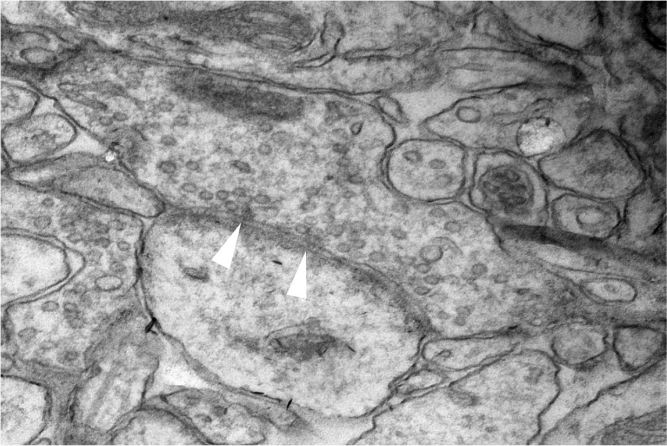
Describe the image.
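The terminal holds small round clear synaptic vesicles scattered loosely rather than tightly clustered. Where the two profiles meet, the membrane of the lower profile shows a dark thickening. A few vesicles lie directly against the presynaptic membrane at the contact. The surrounding neuropil has many small rounded profiles, some containing vesicles, and an elongated mitochondrion near the top.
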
